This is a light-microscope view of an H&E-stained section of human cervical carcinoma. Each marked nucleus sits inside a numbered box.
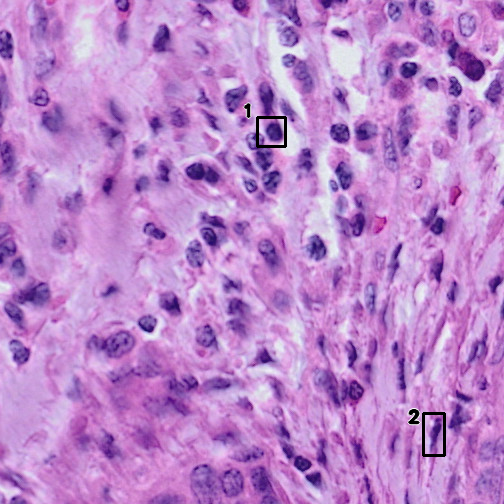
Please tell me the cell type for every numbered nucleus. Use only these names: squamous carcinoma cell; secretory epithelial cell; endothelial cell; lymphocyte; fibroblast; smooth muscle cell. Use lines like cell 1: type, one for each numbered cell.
cell 1: lymphocyte
cell 2: fibroblast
